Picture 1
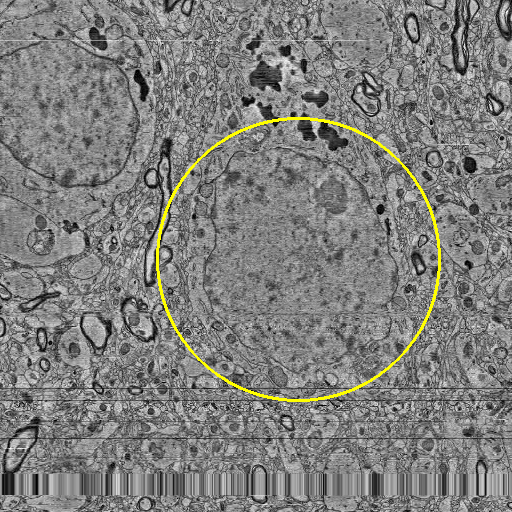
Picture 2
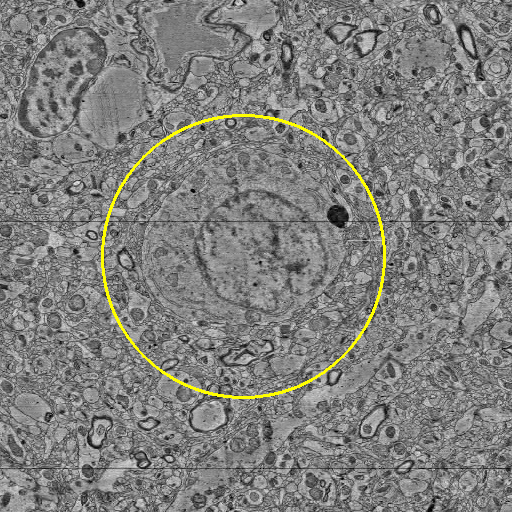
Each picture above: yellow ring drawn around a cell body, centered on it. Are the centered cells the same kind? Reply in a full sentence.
Yes, the two cells are the same kind.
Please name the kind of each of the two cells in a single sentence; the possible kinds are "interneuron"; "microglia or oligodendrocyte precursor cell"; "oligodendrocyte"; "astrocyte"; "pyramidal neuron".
Both the first and the second picture show an interneuron in the ring.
